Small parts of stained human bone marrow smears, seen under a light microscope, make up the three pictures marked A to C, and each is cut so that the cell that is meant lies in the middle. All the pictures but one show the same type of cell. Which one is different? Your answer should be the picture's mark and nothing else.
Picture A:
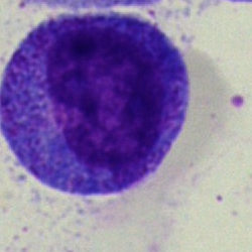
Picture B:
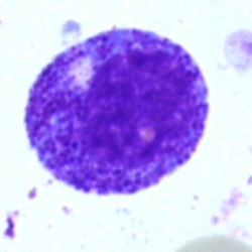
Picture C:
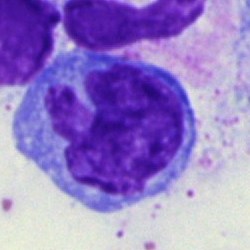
C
